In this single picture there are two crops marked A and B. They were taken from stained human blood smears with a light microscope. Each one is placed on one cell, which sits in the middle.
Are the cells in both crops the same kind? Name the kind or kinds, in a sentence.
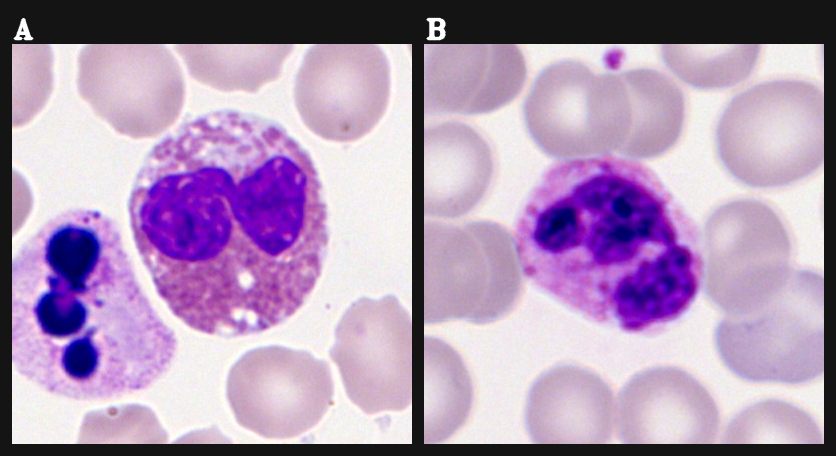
No, on this set crop A shows an eosinophil and crop B shows a basophil.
